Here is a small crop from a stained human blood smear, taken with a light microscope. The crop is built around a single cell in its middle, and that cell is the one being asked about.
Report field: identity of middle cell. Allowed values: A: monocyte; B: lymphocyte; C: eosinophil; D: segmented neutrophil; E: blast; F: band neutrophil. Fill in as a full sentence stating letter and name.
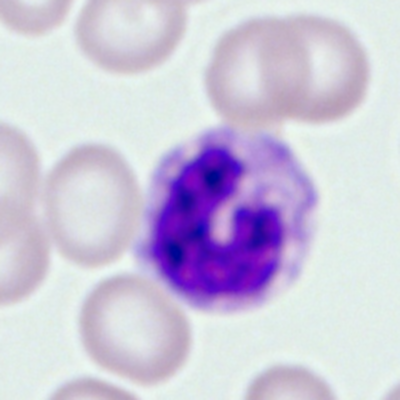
The cell in the middle is a band neutrophil, so option F is correct.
